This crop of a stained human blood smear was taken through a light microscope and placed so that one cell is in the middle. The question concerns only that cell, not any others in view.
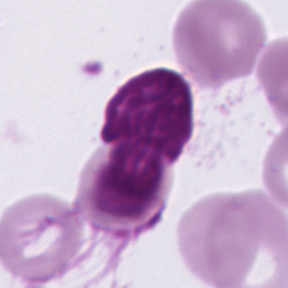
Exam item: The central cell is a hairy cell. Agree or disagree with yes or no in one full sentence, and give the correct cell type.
No, the cell placed at the center is a smudge cell rather than a hairy cell.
